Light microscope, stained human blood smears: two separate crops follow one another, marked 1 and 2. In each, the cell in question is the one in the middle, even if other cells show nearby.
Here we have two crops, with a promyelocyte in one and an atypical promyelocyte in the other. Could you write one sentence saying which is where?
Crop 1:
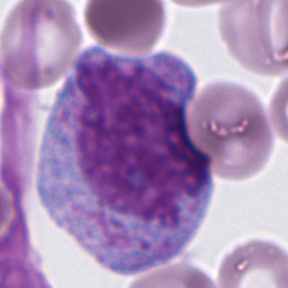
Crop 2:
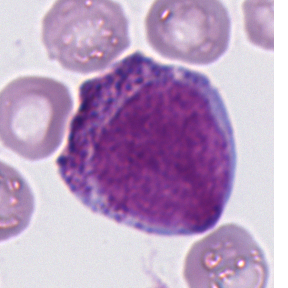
Respectively, crops 1 and 2 show an atypical promyelocyte and a promyelocyte.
